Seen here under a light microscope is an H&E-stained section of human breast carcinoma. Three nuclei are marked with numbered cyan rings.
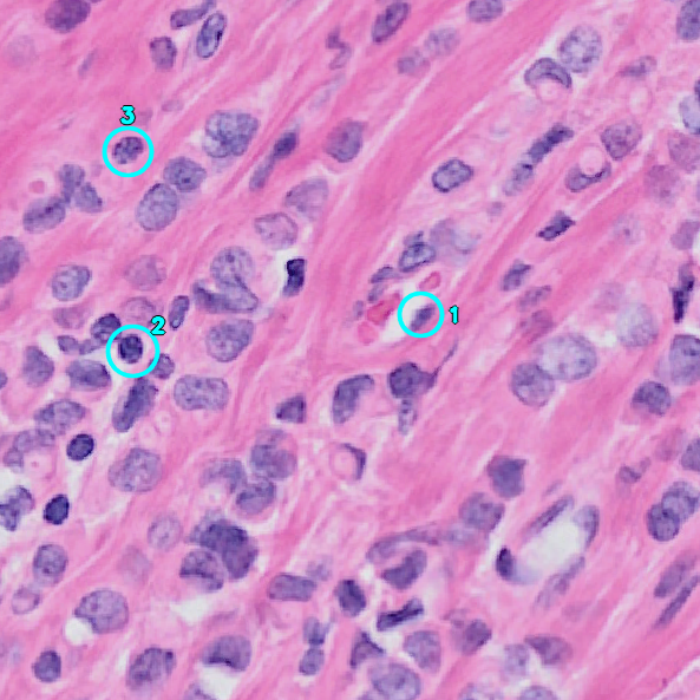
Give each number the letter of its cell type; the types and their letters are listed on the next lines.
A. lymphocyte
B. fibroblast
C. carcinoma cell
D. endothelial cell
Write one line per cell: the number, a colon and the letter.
1: D
2: A
3: A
